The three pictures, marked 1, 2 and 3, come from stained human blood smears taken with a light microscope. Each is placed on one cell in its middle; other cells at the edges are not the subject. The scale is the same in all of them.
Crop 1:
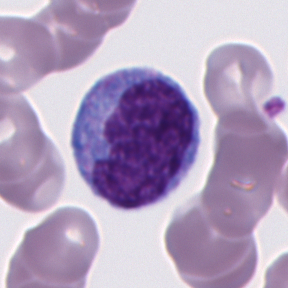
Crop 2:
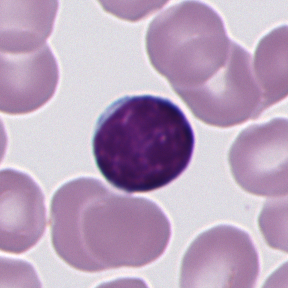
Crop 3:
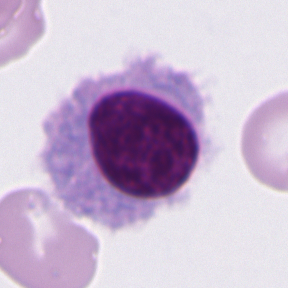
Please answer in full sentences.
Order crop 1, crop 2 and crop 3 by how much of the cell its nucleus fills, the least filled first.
The least filled comes first: 3, 1, 2.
